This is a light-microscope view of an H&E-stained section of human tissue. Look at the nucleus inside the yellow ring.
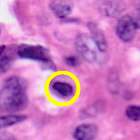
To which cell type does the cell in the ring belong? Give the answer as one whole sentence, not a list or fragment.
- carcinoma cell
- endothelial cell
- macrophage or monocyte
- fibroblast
In this tissue sample, the cell in the ring is a macrophage or monocyte.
